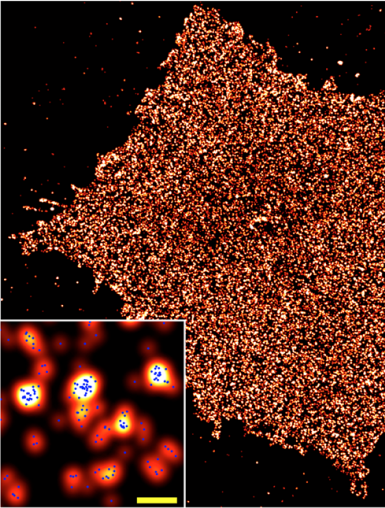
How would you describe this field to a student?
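The cell outline is irregular and roughly polygonal, with short thin protrusions along parts of its edge. In the enlarged inset, the signal resolves into small groups of blue dots inside bright blurred spots, lying beside fainter spots that hold only one or a few dots.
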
